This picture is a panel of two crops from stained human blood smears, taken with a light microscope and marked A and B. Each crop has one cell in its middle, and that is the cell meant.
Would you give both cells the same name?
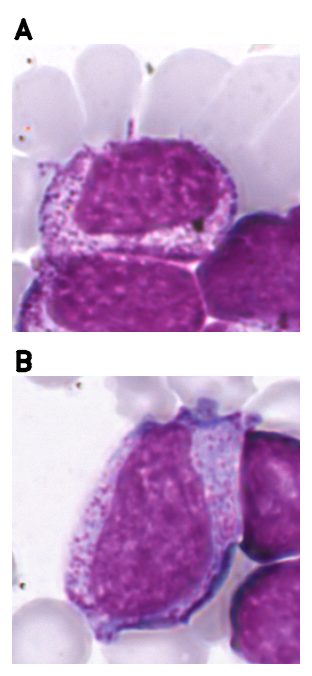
no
